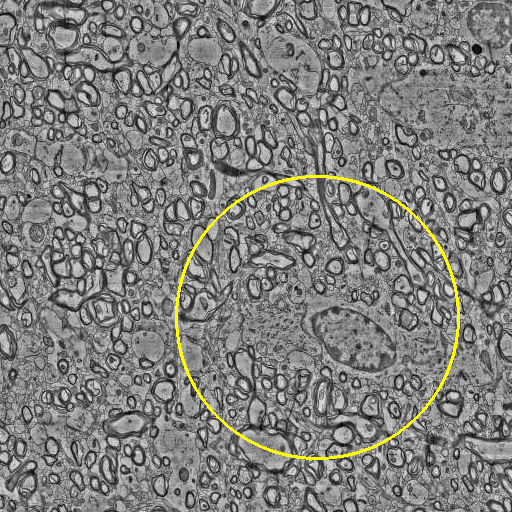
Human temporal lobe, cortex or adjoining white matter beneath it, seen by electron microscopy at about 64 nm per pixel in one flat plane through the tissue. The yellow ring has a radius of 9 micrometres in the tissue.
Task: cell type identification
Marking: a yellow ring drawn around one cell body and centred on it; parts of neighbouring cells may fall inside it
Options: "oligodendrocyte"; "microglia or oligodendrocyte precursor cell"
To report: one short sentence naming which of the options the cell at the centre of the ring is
The cell at the centre of the ring is a microglial cell or oligodendrocyte precursor cell.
